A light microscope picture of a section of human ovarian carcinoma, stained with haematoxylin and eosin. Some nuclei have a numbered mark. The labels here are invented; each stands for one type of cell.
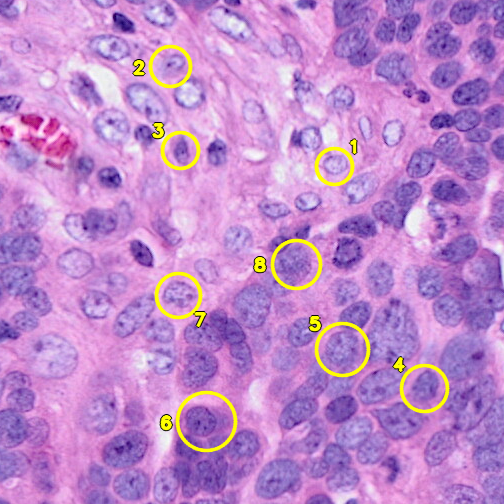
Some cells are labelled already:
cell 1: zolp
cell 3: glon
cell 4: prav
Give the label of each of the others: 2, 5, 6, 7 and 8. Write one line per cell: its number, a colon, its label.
2: zolp
5: prav
6: prav
7: zolp
8: prav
